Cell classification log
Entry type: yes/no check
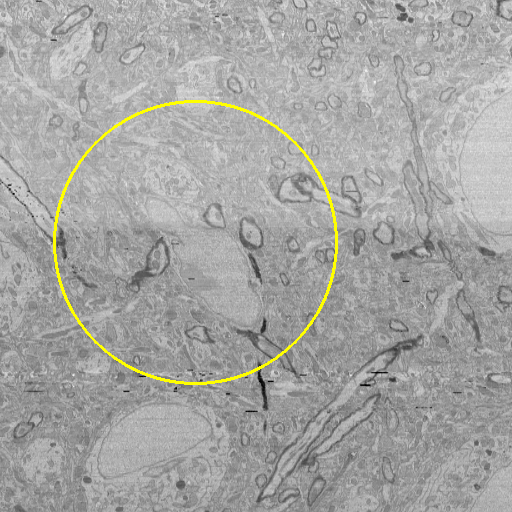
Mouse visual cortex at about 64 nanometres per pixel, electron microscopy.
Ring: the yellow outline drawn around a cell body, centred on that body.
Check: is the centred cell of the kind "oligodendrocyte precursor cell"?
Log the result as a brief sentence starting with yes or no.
Yes, the cell is of that kind.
